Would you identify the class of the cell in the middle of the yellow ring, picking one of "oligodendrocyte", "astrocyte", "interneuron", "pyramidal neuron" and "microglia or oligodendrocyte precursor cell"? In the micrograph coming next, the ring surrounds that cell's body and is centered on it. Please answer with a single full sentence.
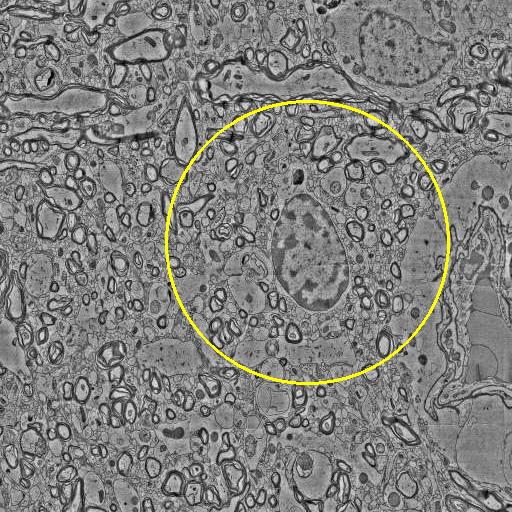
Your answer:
In the micrograph, it is a microglial cell or oligodendrocyte precursor cell whose body lies at the ring's center.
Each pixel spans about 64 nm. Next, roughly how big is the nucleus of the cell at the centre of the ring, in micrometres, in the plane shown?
Roughly 7 micrometres by 5 micrometres, so the nucleus is clearly longer than it is wide in this plane.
